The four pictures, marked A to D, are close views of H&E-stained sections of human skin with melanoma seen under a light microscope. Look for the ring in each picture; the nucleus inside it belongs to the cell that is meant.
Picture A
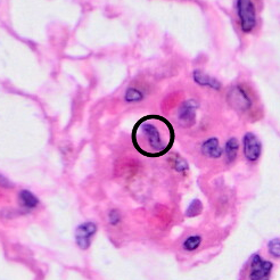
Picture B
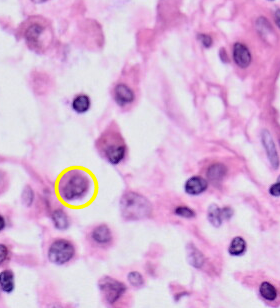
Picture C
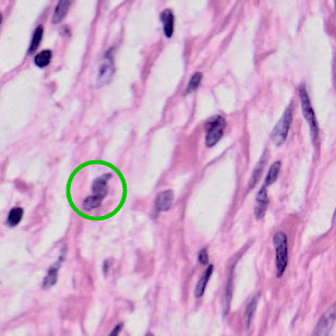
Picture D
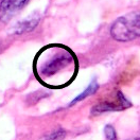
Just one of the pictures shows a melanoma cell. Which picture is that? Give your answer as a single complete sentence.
Picture D is the one that shows the melanoma cell.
